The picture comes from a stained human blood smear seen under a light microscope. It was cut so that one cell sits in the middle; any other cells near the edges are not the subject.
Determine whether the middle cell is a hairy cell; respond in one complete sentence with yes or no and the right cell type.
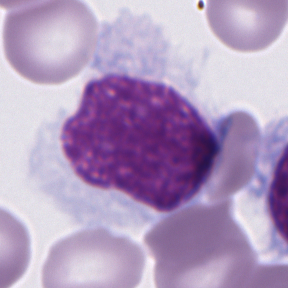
Yes, it is a hairy cell that occupies the centre of the crop.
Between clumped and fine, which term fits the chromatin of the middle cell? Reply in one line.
The chromatin is delicate and fine, lacking coarse clumping entirely.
